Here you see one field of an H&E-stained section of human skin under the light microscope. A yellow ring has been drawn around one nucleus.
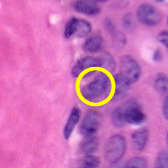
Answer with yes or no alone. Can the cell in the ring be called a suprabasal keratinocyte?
no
